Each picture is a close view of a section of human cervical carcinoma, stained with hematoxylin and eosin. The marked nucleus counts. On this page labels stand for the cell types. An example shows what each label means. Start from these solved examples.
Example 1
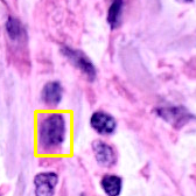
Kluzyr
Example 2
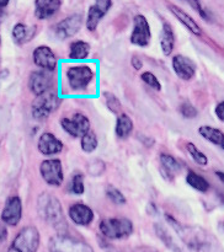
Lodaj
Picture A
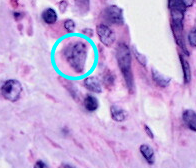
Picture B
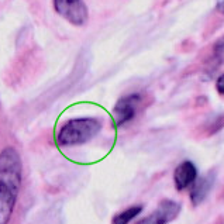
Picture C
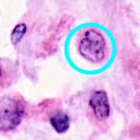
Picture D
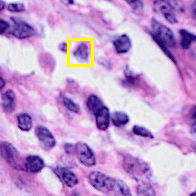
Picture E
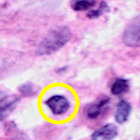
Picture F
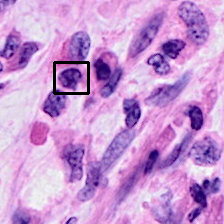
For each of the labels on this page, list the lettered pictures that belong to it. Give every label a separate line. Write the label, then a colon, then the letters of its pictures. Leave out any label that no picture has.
Kluzyr: A, B, C
Lodaj: D, E, F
